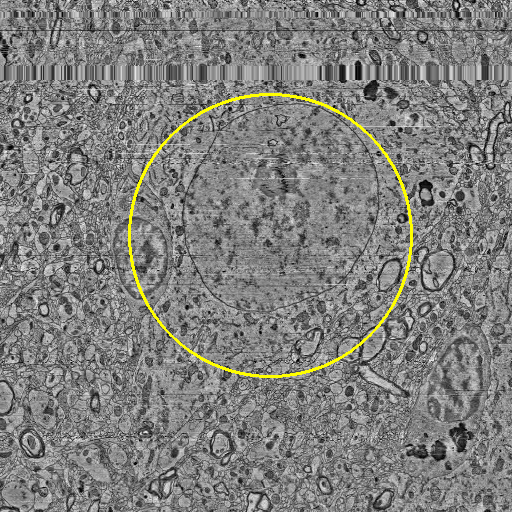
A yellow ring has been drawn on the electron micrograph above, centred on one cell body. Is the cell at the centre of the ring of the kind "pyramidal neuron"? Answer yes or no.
yes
